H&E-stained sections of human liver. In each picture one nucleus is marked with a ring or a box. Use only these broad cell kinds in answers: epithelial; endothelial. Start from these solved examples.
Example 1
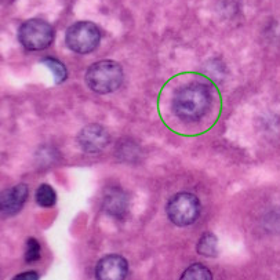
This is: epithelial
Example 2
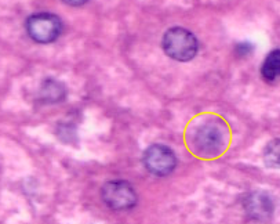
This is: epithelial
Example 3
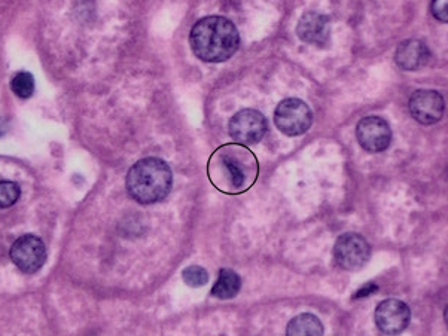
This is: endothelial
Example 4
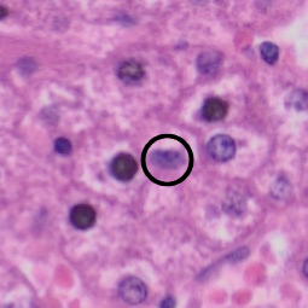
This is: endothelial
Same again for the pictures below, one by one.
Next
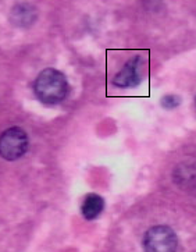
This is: endothelial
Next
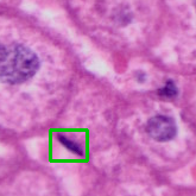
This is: endothelial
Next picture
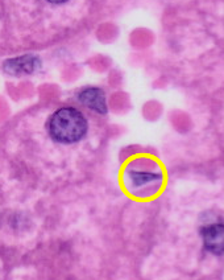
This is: endothelial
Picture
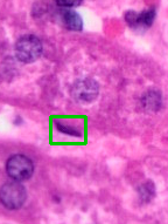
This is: endothelial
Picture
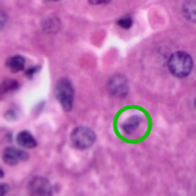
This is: endothelial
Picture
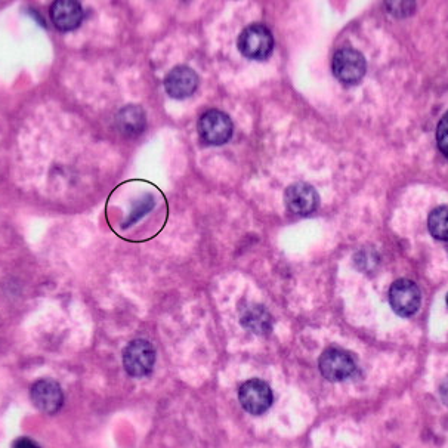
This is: endothelial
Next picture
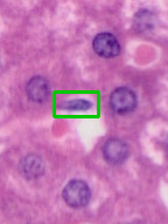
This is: endothelial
